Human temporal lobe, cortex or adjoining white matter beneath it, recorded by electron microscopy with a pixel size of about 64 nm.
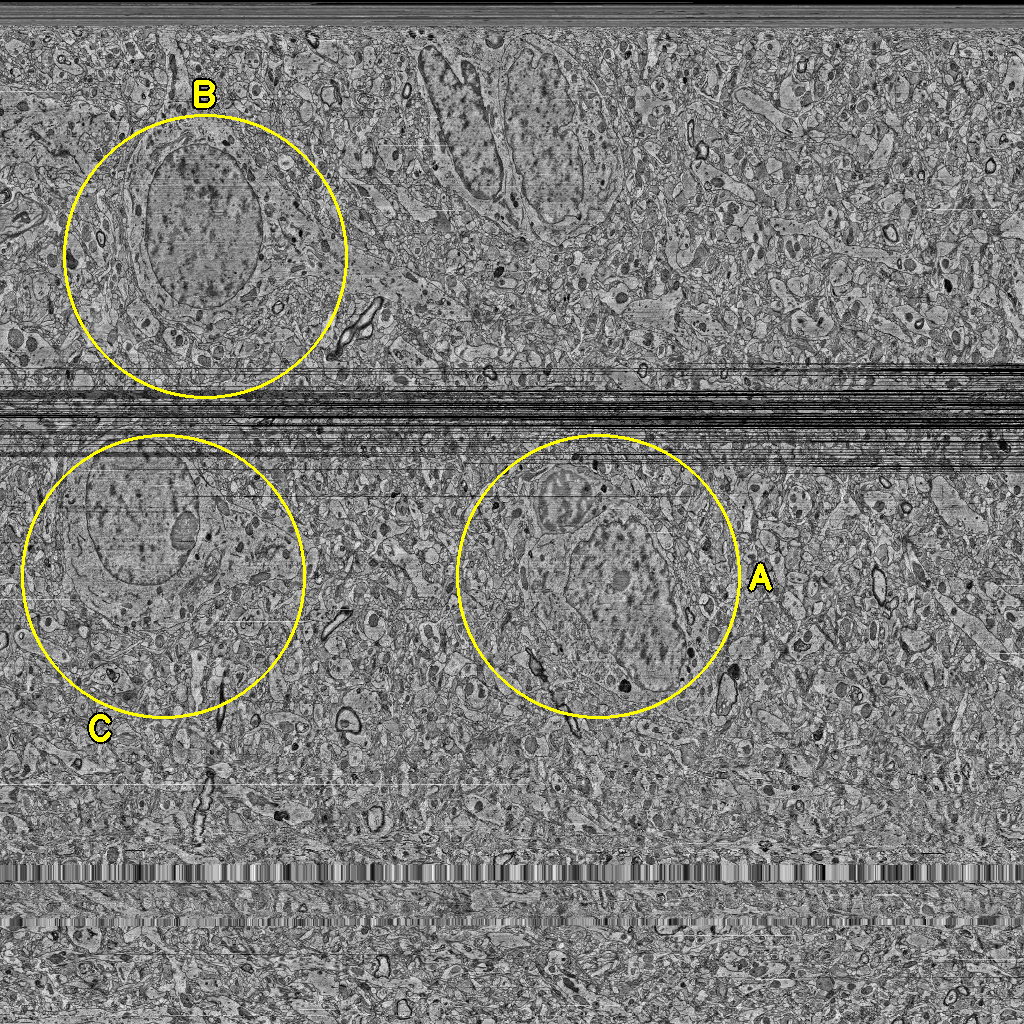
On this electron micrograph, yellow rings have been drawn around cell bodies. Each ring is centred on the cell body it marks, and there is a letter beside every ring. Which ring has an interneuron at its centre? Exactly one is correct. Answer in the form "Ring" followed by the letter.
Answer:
Ring A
